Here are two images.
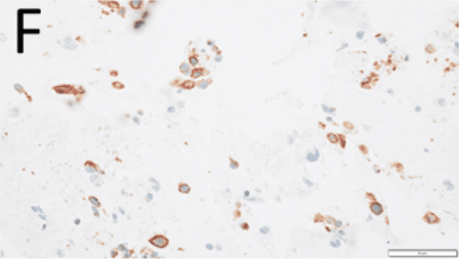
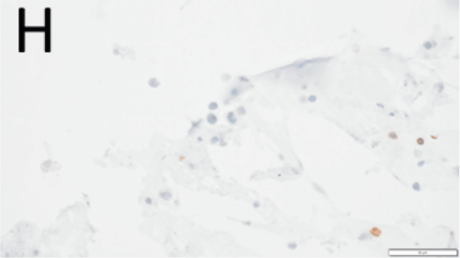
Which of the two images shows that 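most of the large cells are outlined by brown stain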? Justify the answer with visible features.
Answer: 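Second image: the scattered round cells are almost all blue-grey, with only a few faint brown dots. First image: many scattered round cells carry a brown rim or brown cytoplasm around a pale nucleus.
Answer: the first image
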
